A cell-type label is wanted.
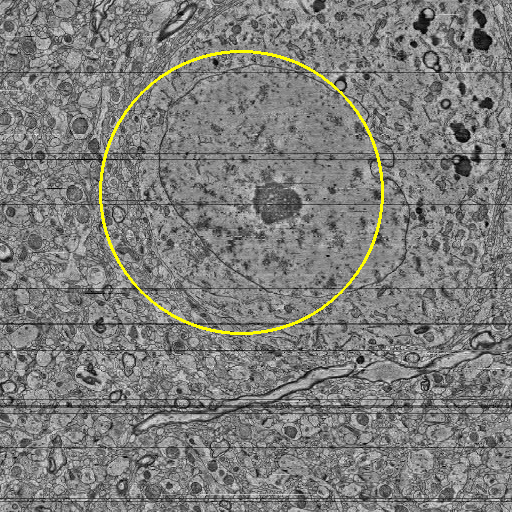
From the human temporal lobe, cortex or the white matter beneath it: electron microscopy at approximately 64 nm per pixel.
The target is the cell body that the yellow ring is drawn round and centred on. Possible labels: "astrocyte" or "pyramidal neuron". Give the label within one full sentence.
Of the labels offered, the cell in the middle of the yellow ring is a pyramidal neuron.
